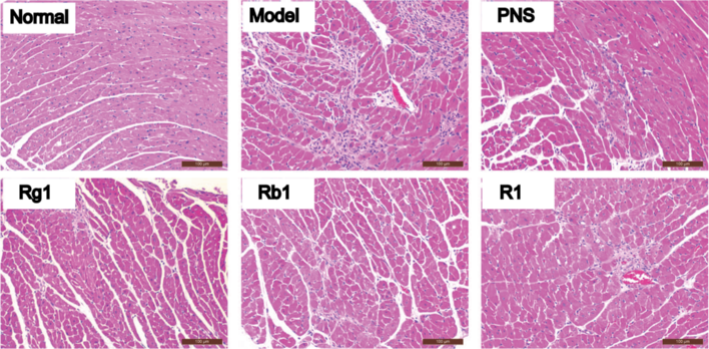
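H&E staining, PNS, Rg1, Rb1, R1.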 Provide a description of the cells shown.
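These six fields show heart muscle, with pink, elongated and branching muscle fibres that carry small oval nuclei near their centres. In the top-left field the fibres are regular and closely packed, running in parallel bundles. In the top-middle field the fibres are broken up and irregular, and the spaces between them are filled with paler, loose tissue crowded with many small purple nuclei, indicating infiltration by inflammatory cells. The remaining fields show smaller, scattered patches of such loose, nucleus-rich tissue between otherwise intact fibres.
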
